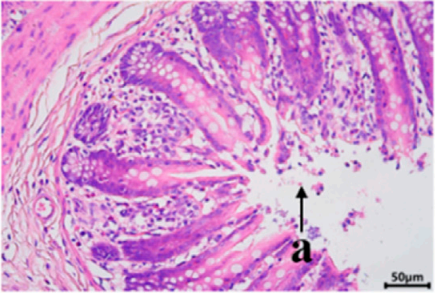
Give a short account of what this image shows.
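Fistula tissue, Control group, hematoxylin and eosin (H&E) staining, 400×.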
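This is mucosa with crypts, showing damage and inflammation. Toward the open lumen the lining breaks up, and detached cells and pink debris float free. The connective tissue between the glands is packed with many small, dark, round nuclei of infiltrating cells.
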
